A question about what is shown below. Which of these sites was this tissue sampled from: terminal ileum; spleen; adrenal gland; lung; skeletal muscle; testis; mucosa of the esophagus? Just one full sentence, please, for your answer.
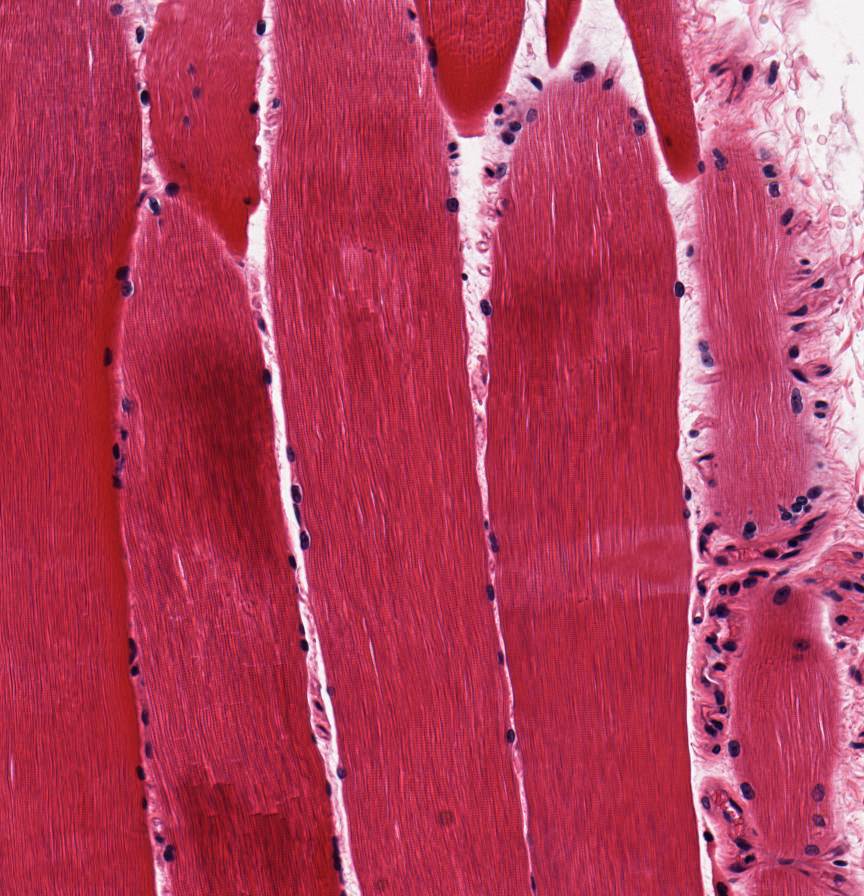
The tissue shown was sampled from the skeletal muscle.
